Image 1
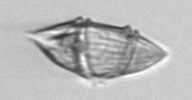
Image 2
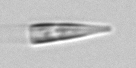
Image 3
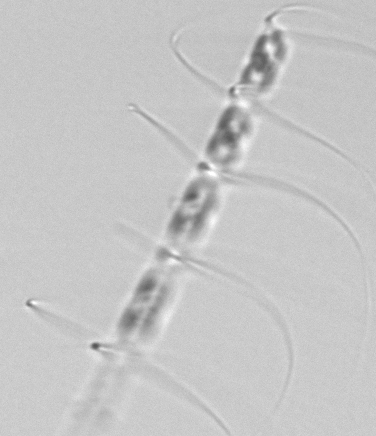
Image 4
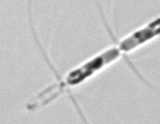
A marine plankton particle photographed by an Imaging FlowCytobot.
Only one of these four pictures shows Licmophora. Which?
Picture 2.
